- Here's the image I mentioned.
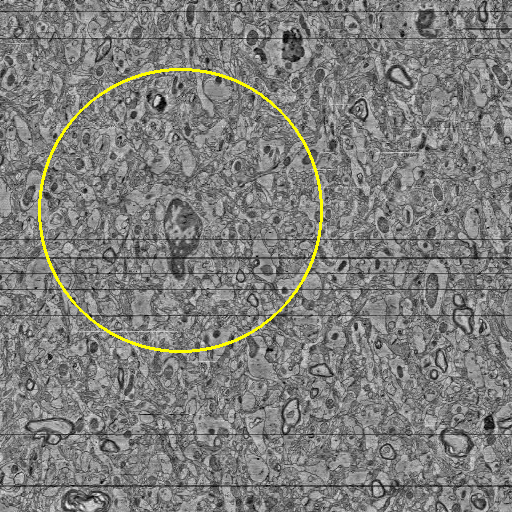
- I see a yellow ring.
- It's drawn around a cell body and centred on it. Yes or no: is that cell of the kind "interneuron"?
no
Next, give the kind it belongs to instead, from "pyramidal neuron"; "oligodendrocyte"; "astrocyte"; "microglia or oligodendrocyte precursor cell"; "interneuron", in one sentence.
Instead, the picture shows a microglial cell or oligodendrocyte precursor cell at the centre of the ring.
